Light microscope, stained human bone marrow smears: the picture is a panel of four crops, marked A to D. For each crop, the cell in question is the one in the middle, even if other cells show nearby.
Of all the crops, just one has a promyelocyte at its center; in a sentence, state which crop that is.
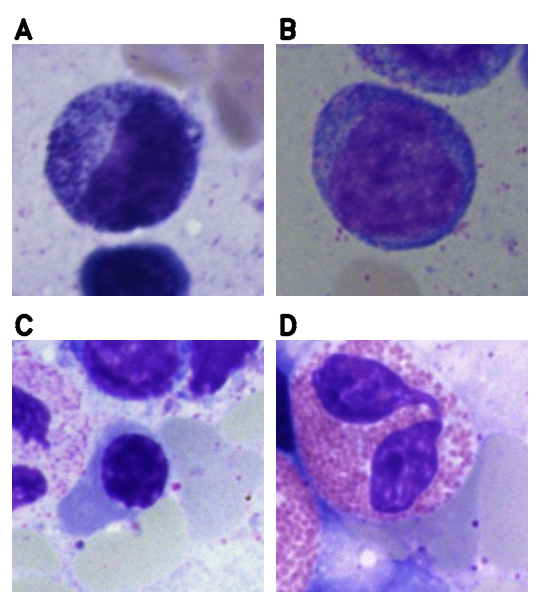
Among the crops, only crop A contains a promyelocyte.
